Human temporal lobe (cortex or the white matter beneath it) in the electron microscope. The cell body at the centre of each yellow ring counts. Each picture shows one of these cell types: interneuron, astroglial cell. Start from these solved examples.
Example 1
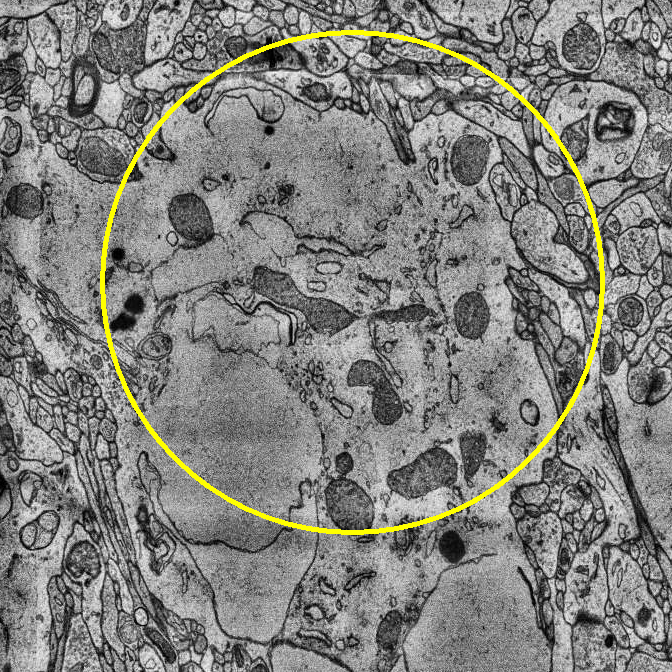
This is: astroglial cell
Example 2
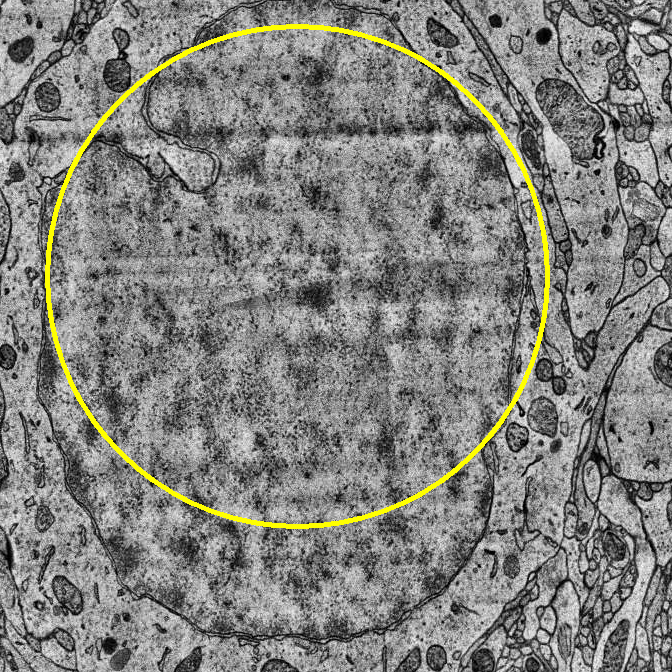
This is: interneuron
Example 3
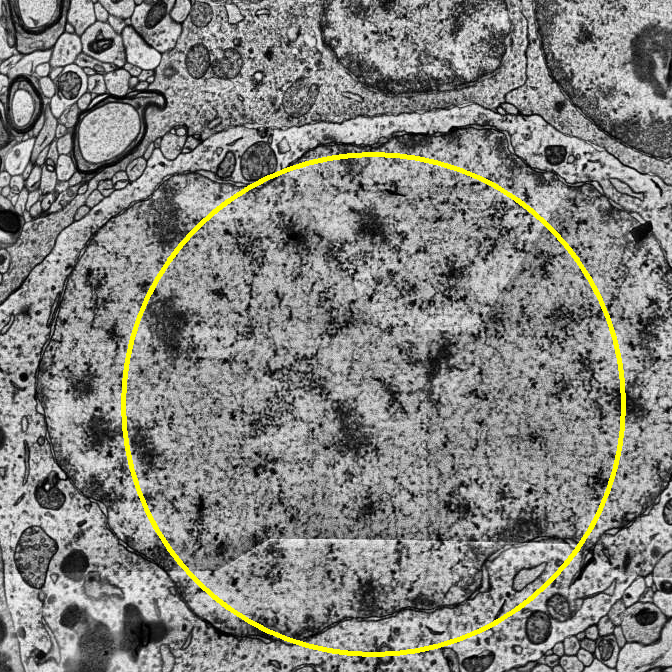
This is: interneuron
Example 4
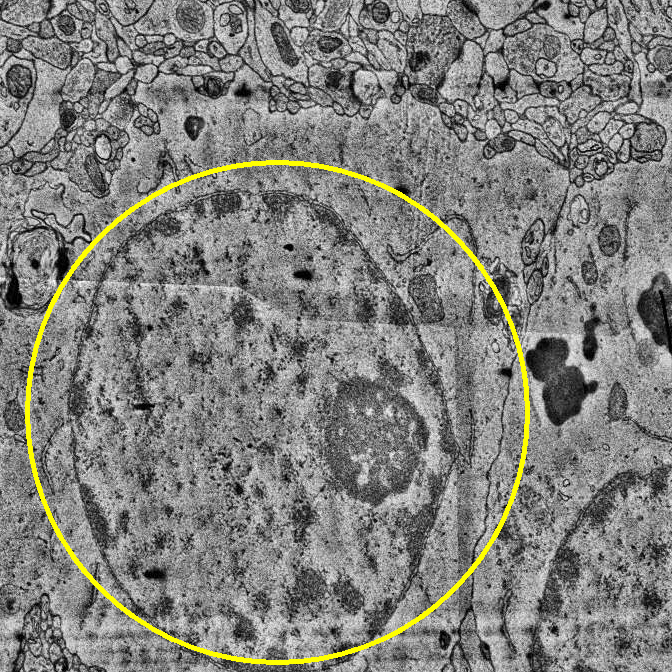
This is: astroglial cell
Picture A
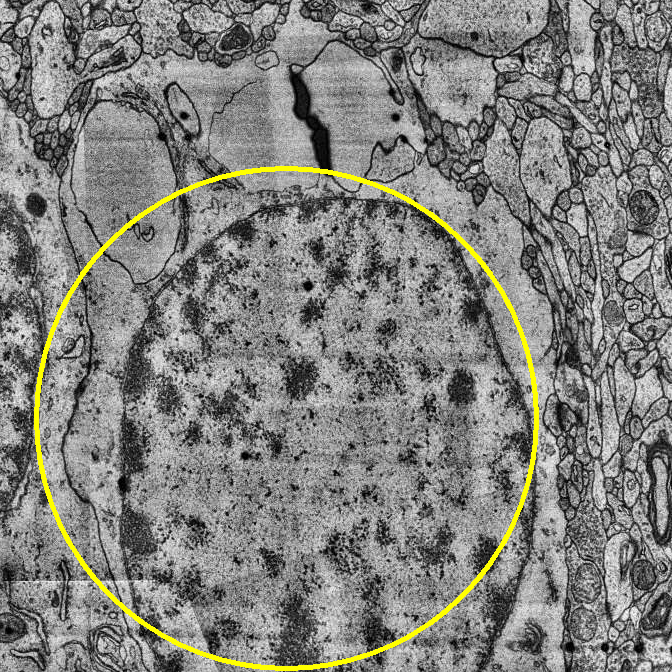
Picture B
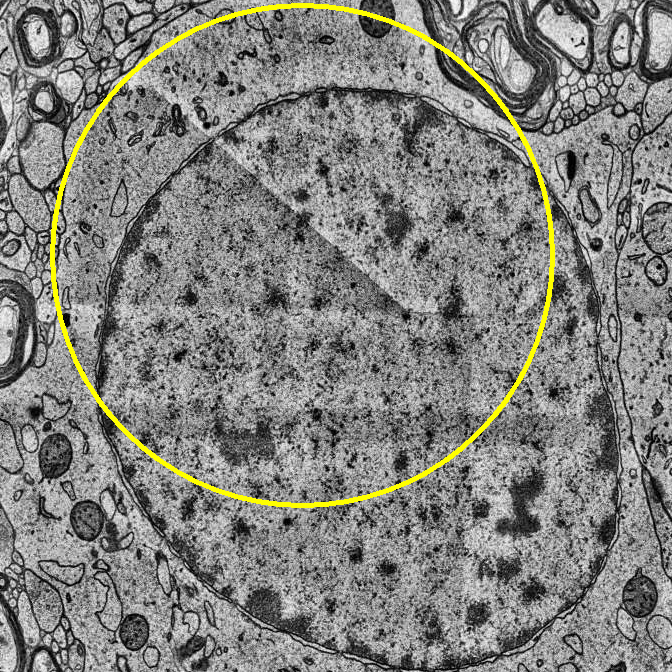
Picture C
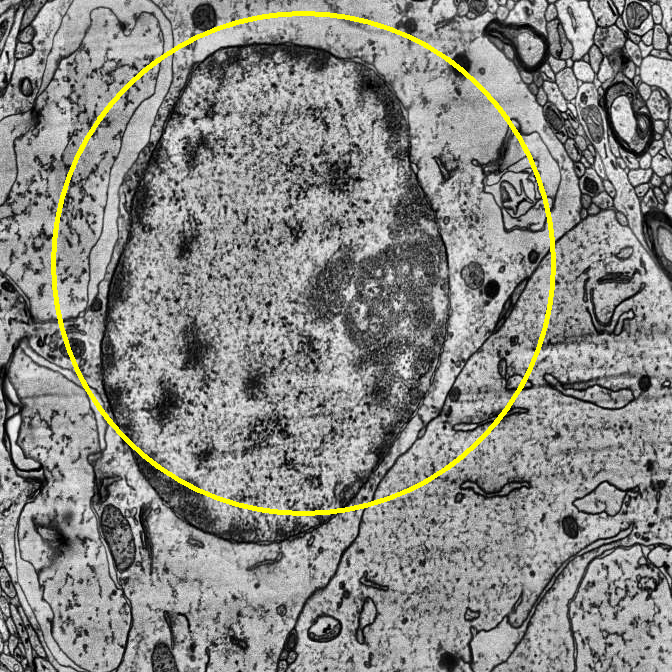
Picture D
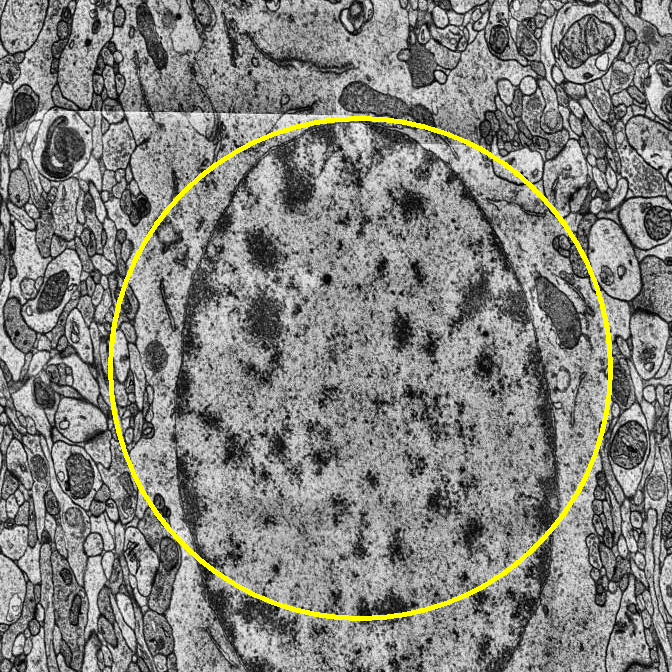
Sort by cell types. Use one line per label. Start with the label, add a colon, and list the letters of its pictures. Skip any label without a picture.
astroglial cell: A, B, C, D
